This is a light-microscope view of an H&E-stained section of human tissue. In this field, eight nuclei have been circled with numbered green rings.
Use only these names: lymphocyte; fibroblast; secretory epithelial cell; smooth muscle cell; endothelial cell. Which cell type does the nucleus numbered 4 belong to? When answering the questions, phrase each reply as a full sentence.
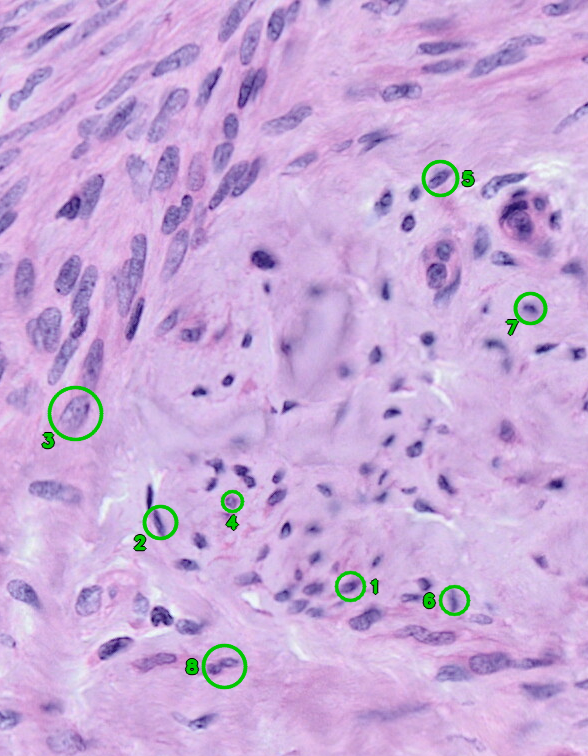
To a smooth muscle cell belongs the nucleus marked 4.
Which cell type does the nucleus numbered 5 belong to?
The numeral 5 marks a fibroblast in this section.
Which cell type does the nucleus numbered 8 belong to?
That cell with number 8 is a smooth muscle cell.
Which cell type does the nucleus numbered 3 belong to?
At number 3, the marked cell is a smooth muscle cell.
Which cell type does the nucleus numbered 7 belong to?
The numbered cell 7 is identified here as a fibroblast.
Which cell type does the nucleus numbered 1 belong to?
The marked cell with the number 1 is recognised as a smooth muscle cell.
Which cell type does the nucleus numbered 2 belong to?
Cell 2, as marked in the section, is a fibroblast.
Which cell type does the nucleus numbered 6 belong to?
The cell carrying label 6 is identified as a fibroblast.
